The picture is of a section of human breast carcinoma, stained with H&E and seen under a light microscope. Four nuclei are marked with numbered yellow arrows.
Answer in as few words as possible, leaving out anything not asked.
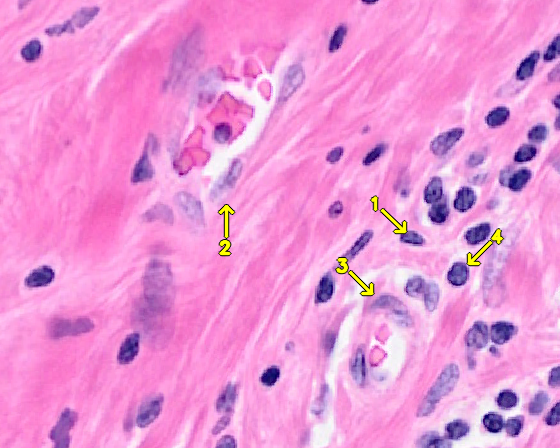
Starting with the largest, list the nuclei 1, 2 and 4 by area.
2, 4, 1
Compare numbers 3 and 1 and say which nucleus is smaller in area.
1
